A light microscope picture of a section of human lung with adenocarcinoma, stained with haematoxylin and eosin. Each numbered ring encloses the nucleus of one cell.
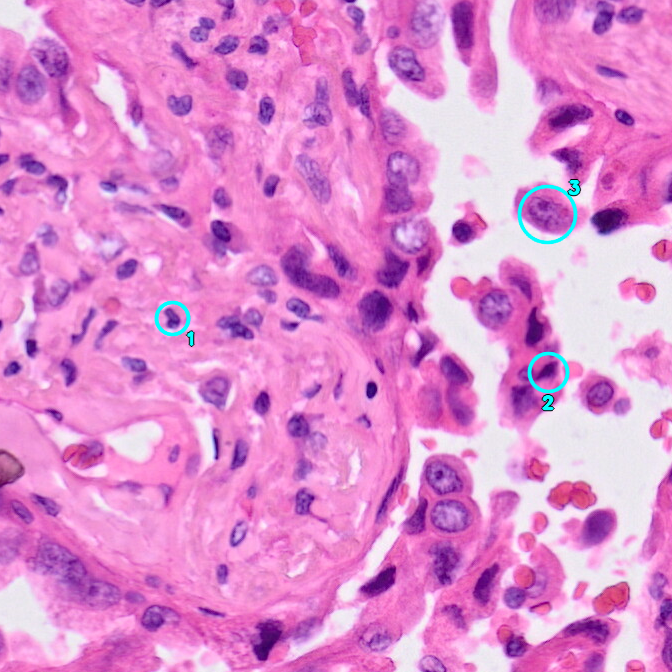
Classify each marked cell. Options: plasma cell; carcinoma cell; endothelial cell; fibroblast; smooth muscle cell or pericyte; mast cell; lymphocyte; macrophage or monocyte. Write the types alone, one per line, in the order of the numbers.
lymphocyte
carcinoma cell
carcinoma cell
